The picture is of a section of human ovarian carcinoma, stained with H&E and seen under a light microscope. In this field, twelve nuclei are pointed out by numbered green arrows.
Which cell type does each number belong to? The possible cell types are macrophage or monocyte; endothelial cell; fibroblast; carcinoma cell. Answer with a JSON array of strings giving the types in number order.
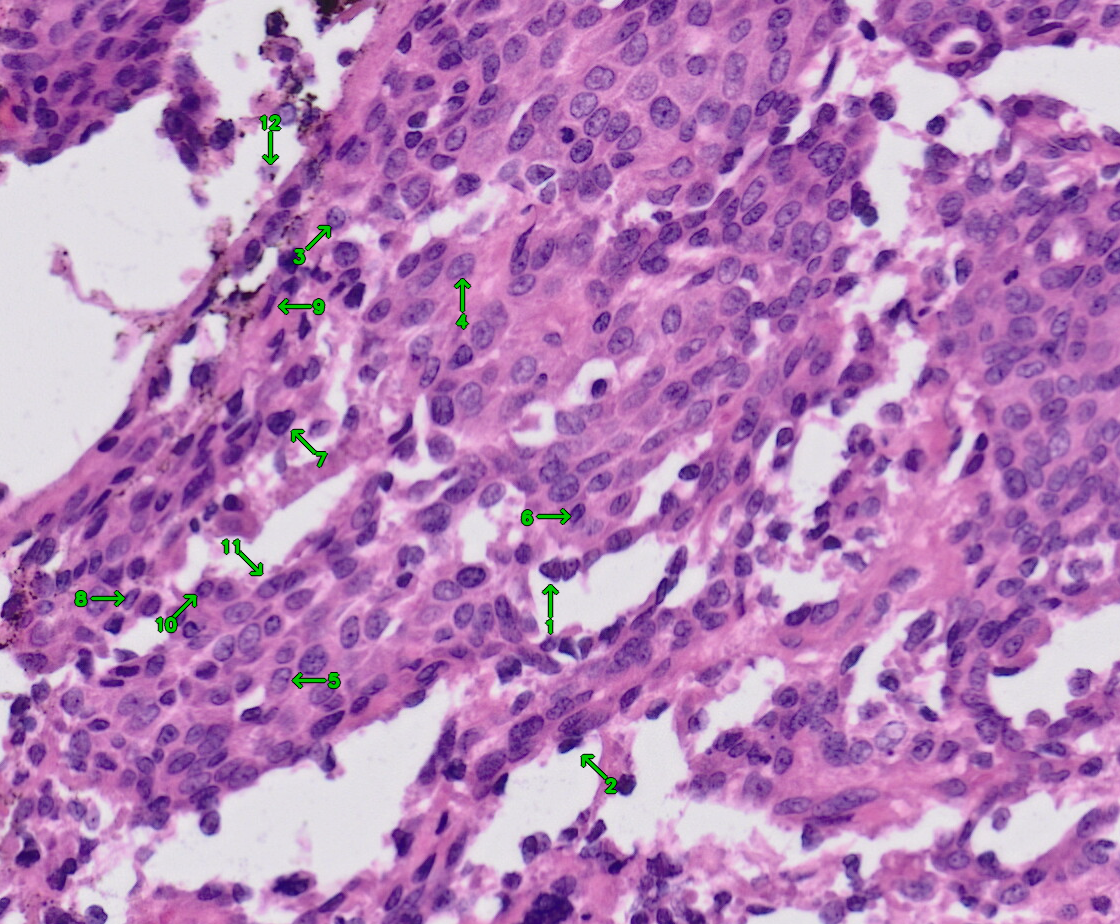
["carcinoma cell", "carcinoma cell", "macrophage or monocyte", "carcinoma cell", "carcinoma cell", "macrophage or monocyte", "carcinoma cell", "macrophage or monocyte", "endothelial cell", "carcinoma cell", "carcinoma cell", "macrophage or monocyte"]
